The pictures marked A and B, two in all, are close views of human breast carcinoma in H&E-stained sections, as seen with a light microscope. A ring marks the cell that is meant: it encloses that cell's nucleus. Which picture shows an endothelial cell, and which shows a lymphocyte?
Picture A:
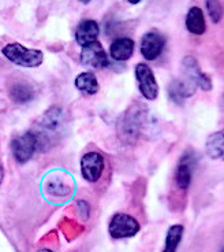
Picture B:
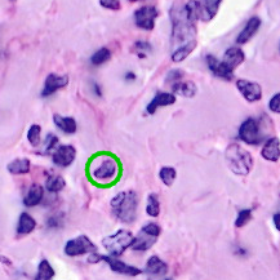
A: endothelial cell
B: lymphocyte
